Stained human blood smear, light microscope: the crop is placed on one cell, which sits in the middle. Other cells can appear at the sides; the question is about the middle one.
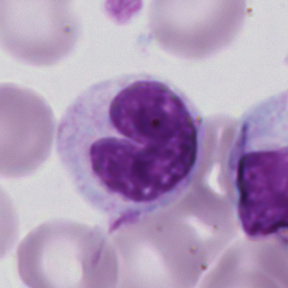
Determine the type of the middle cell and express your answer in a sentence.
The crop centres on a single cell, and that cell is a band neutrophil.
